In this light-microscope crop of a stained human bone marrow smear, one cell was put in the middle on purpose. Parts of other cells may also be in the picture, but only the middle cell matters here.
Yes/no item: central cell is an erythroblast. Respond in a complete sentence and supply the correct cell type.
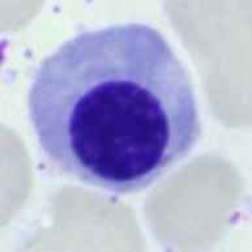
Yes, the central element of the crop is an erythroblast.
